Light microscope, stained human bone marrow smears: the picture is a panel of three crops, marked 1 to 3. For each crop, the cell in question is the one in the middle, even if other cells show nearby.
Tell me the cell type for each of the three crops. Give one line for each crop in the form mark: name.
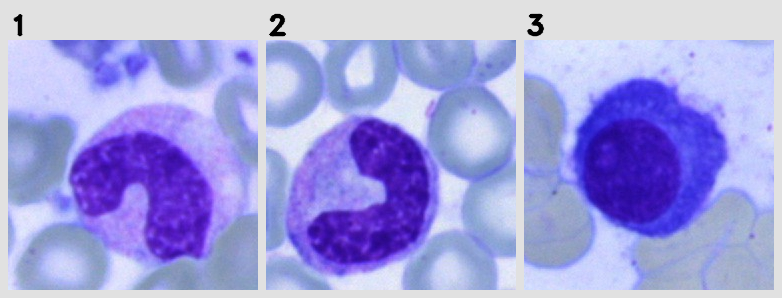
1: band neutrophil
2: band neutrophil
3: plasma cell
